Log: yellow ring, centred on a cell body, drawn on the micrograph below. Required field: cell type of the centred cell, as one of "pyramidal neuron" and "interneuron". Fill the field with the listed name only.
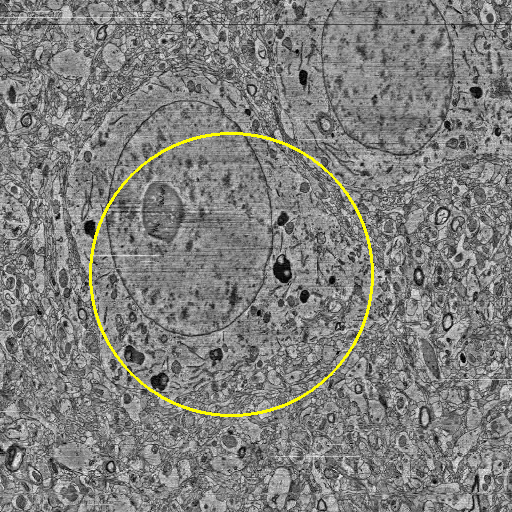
pyramidal neuron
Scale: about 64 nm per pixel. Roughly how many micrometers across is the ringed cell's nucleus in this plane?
In this plane, the nucleus of the cell at the centre of the ring measures about 16 by 11 micrometres.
